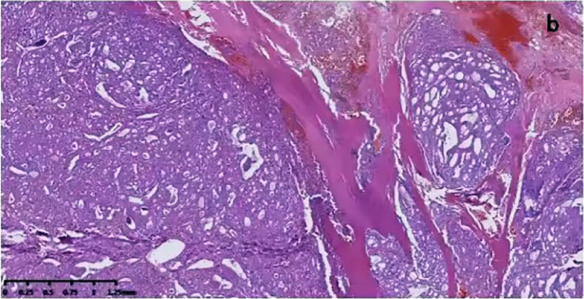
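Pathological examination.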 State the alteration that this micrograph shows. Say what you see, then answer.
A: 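Capsular invasion. Broad pink fibrous bands cross the field. Tumor nodules of differing size lie on both sides of the bands.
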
